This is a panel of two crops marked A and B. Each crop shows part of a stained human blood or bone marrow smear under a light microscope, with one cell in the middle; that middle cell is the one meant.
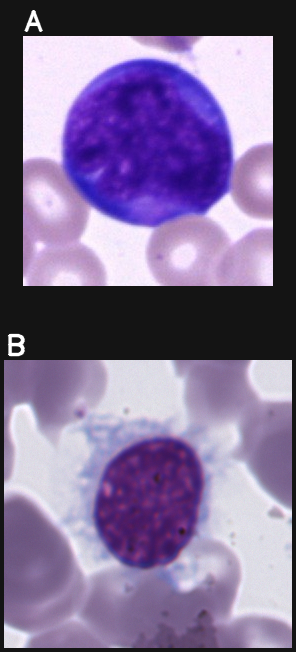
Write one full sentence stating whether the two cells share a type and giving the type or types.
No, crop A features a blast, while crop B features a hairy cell.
